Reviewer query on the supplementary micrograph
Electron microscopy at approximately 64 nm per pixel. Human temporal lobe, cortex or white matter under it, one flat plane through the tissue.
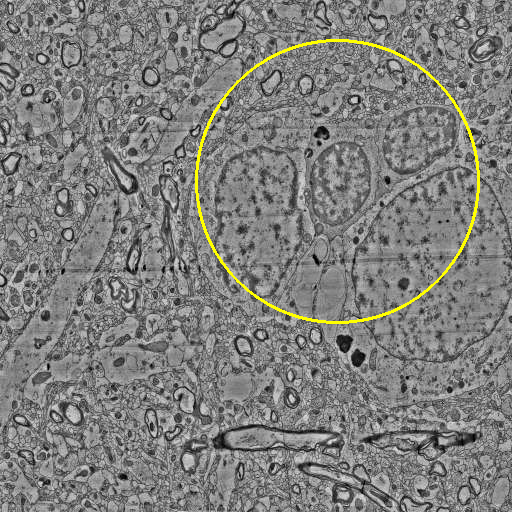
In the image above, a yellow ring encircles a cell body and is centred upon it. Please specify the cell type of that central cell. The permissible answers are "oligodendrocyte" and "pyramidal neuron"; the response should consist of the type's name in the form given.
oligodendrocyte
